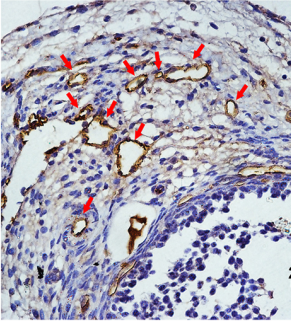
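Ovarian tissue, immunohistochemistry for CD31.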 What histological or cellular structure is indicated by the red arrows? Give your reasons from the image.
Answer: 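Microvessels. The arrows point at small rings of brown-stained flattened cells around narrow lumina. The rings lie scattered in loose stroma.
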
